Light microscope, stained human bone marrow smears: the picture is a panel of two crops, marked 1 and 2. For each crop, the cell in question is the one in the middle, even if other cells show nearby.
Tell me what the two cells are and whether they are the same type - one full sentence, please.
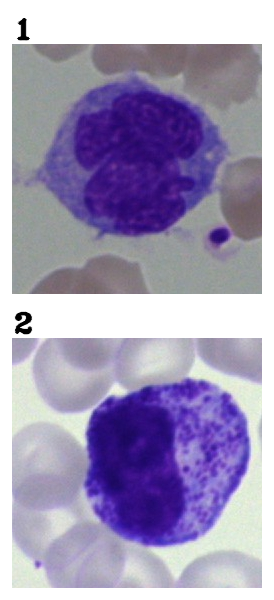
No: a monocyte sits in crop 1, and a metamyelocyte sits in crop 2.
